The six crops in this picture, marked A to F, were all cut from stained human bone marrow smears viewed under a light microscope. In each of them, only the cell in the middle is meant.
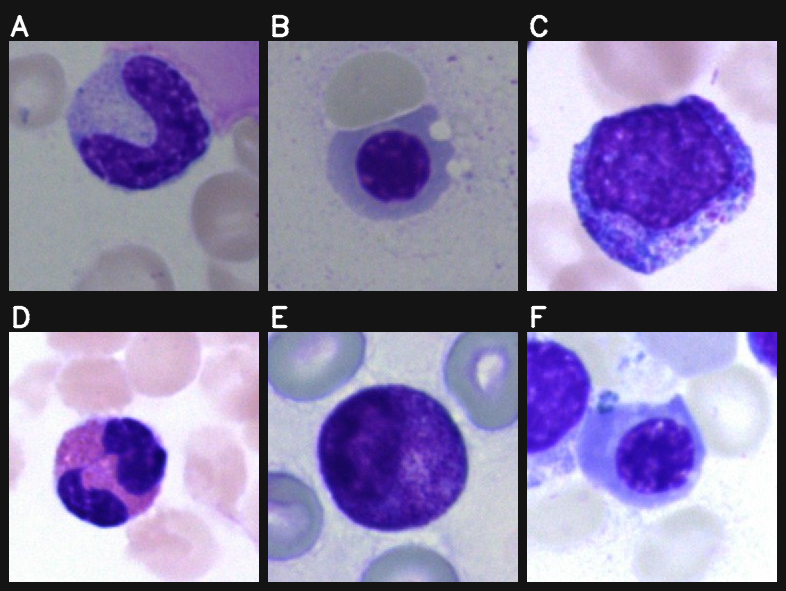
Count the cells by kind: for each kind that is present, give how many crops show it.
erythroblast: 2
promyelocyte: 2
band neutrophil: 1
eosinophil: 1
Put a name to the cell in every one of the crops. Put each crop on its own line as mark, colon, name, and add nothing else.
A: band neutrophil
B: erythroblast
C: promyelocyte
D: eosinophil
E: promyelocyte
F: erythroblast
